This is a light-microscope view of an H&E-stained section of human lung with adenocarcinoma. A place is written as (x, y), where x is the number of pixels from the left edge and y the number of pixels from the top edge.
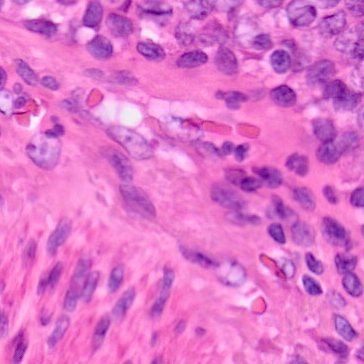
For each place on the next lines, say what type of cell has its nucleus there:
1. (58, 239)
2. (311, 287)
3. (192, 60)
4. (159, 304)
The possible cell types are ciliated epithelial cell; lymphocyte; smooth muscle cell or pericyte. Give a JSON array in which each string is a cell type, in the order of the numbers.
["smooth muscle cell or pericyte", "lymphocyte", "ciliated epithelial cell", "smooth muscle cell or pericyte"]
